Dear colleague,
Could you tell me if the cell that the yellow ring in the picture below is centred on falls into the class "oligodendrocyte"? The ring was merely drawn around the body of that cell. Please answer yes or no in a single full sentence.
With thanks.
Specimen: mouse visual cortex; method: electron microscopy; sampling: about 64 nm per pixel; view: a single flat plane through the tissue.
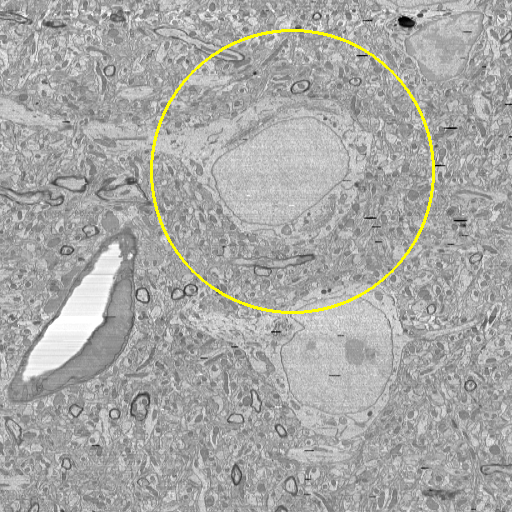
No, the cell on which the ring in your picture is centred falls into a different class.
